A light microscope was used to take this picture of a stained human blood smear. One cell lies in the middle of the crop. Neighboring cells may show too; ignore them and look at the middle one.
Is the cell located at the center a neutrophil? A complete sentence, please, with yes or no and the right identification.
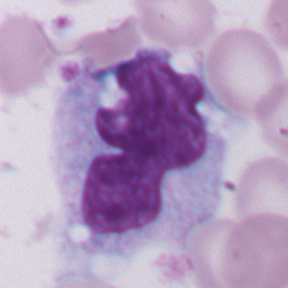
No, the cell at the center of this crop is a monocyte instead of a neutrophil.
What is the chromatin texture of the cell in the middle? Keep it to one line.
Coarse clumps are absent, and the chromatin is fine throughout.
